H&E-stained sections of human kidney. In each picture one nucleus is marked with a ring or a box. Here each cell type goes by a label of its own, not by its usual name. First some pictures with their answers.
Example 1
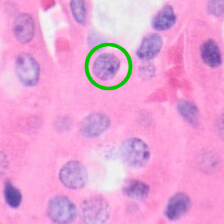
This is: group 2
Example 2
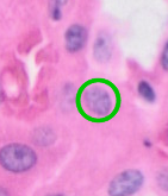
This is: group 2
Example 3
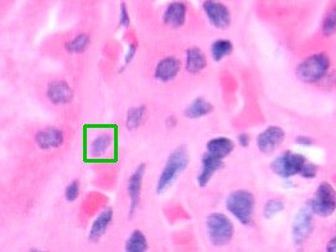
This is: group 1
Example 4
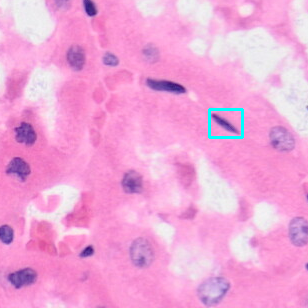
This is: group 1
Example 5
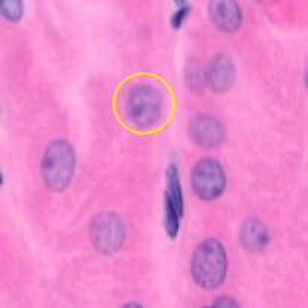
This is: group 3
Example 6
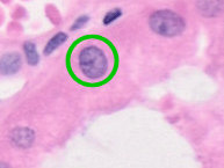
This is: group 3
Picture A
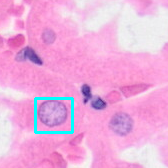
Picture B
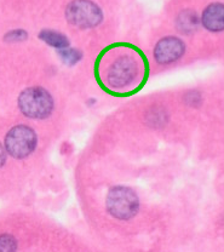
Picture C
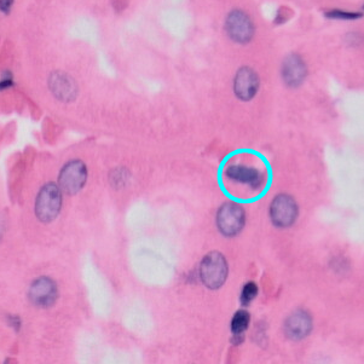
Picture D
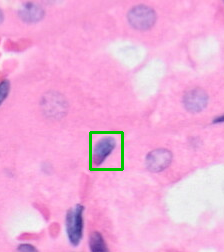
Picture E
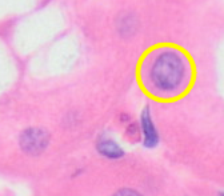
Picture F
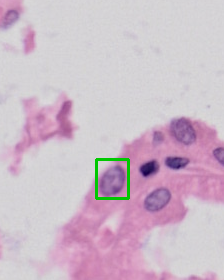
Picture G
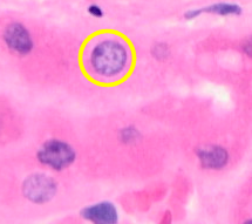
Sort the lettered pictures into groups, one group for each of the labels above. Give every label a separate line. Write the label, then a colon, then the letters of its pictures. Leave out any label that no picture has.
group 1: C, D
group 3: A, B, E, F, G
